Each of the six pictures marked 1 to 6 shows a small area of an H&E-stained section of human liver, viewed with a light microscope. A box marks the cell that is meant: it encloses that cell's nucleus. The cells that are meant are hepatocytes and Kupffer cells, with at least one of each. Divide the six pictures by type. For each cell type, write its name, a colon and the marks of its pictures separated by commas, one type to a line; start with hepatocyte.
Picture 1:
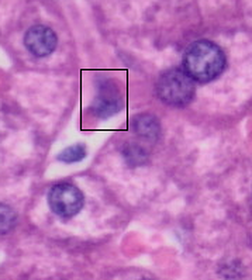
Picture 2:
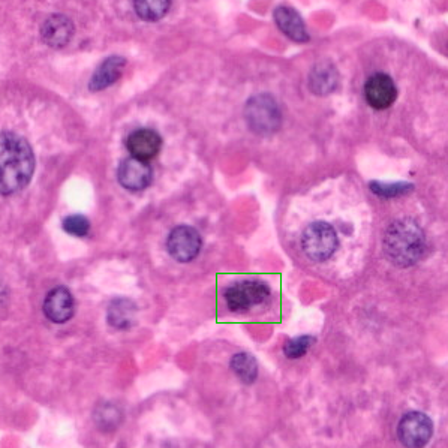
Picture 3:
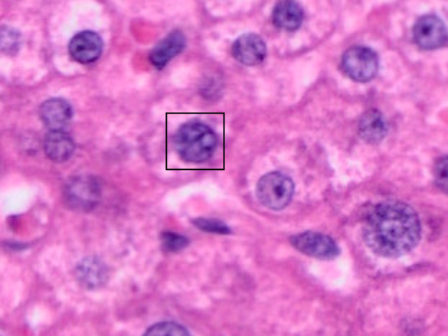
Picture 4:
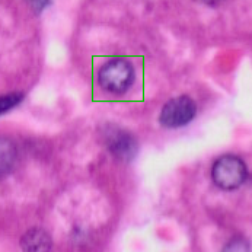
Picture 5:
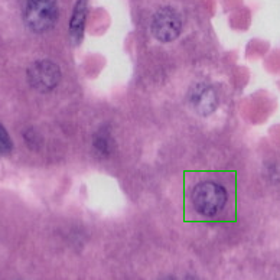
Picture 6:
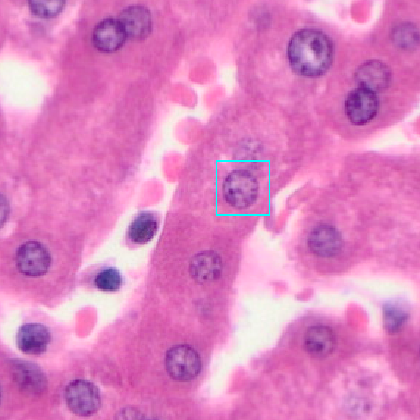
hepatocyte: 3, 4, 5, 6
Kupffer cell: 1, 2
